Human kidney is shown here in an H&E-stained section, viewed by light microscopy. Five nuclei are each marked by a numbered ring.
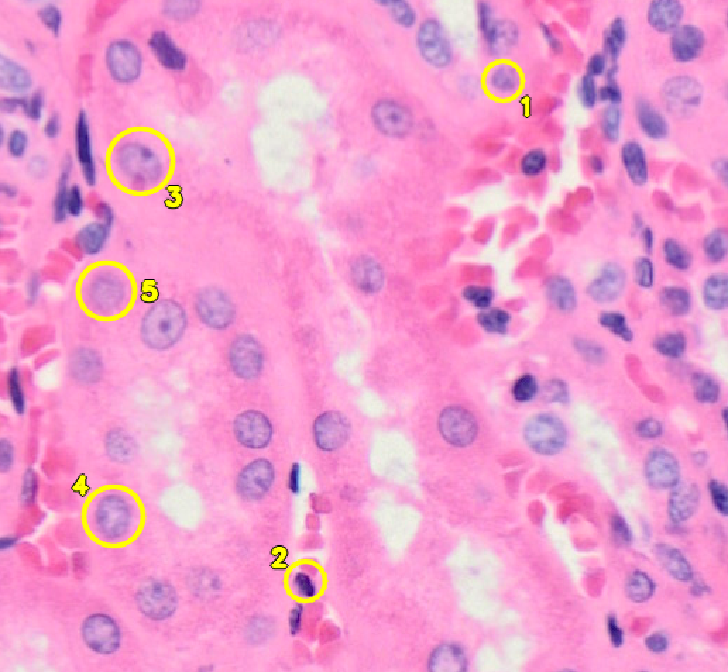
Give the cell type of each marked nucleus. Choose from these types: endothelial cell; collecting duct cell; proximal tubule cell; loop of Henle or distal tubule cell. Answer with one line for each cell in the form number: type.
1: collecting duct cell
2: endothelial cell
3: proximal tubule cell
4: proximal tubule cell
5: proximal tubule cell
